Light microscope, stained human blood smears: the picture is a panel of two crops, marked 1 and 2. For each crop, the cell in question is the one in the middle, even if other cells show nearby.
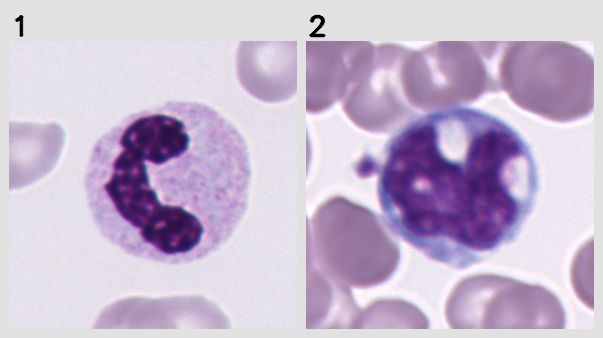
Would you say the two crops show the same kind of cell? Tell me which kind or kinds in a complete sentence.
No, crop 1 has a neutrophil at its center, and crop 2 has a monocyte.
